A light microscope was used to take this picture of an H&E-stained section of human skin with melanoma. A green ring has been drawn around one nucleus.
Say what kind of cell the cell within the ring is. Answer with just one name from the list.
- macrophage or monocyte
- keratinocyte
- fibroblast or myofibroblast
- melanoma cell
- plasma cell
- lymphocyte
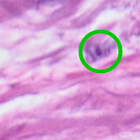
fibroblast or myofibroblast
